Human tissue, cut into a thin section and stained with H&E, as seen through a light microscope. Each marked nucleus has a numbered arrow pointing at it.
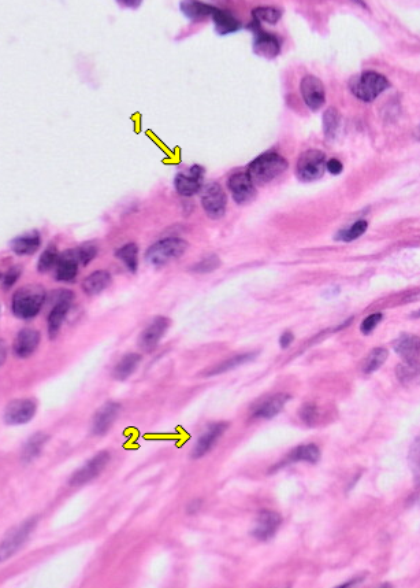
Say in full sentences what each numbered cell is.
Cell 1 is a macrophage or monocyte. Cell 2 is a fibroblast.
